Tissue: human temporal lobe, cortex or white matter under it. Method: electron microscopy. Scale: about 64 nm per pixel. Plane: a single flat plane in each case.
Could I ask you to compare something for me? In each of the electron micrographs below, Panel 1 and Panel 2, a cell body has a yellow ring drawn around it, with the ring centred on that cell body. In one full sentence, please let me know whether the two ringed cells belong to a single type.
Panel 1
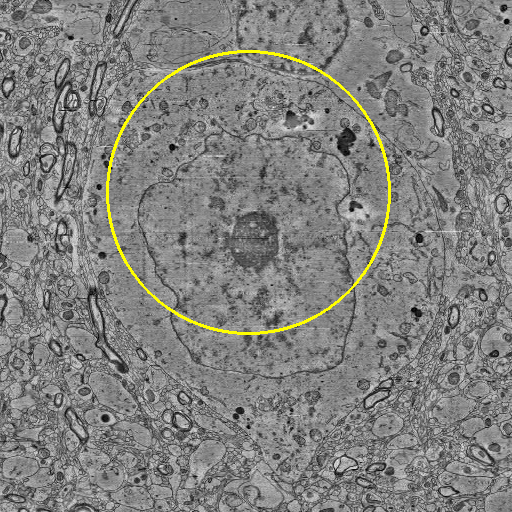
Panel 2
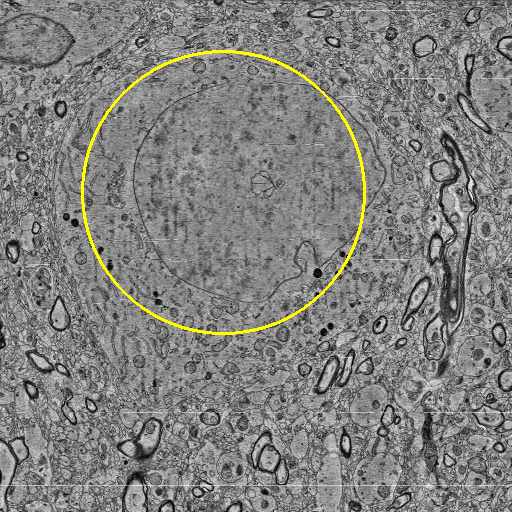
Yes, the two cells at the centres of the rings are of one type.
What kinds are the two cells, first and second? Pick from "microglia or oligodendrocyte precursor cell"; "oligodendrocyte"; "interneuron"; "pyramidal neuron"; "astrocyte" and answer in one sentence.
Each cell, in the first picture and the second, is a pyramidal neuron.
